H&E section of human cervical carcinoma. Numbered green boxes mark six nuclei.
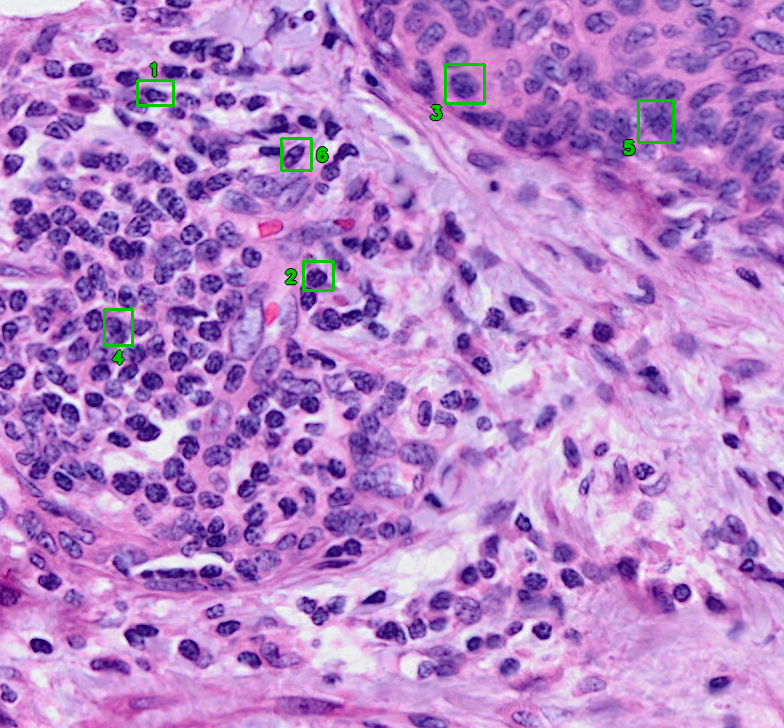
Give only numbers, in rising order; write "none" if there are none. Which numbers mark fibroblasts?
none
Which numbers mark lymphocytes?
1, 2, 4, 6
